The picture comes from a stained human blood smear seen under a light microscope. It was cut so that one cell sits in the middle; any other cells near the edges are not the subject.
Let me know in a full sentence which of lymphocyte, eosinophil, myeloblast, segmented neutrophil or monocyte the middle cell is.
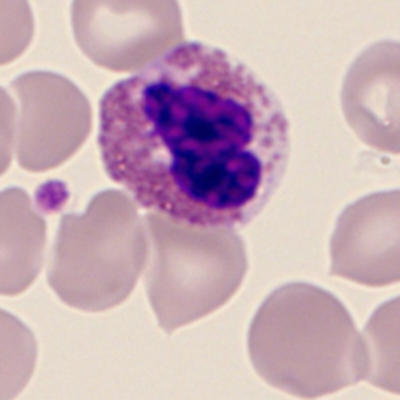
By classification, the middle cell of this crop is an eosinophil.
